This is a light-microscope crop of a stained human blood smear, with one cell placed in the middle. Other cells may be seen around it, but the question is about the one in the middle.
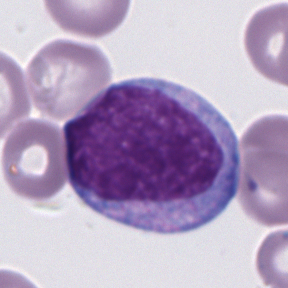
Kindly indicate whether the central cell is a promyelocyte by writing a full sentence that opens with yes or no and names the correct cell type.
Yes, the middle cell in this crop is a promyelocyte.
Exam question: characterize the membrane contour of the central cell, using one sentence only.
The cell shows a smooth outline that lacks any surface projections.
